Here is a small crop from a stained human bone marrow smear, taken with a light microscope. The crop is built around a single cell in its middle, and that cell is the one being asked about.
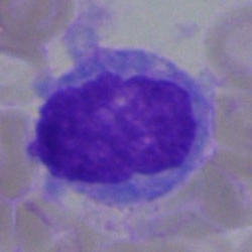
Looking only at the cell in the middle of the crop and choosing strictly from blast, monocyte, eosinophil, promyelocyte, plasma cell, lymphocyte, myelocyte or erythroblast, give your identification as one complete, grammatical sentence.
The cell around which this crop is centred is a promyelocyte.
